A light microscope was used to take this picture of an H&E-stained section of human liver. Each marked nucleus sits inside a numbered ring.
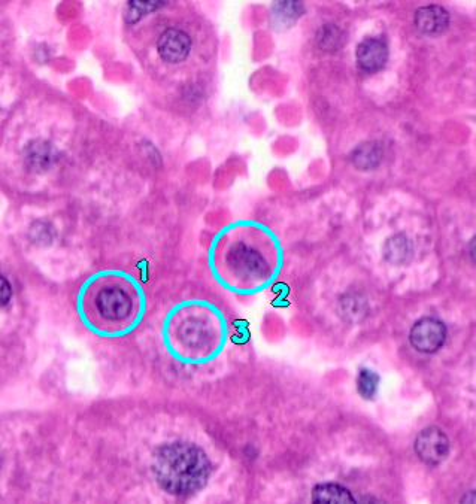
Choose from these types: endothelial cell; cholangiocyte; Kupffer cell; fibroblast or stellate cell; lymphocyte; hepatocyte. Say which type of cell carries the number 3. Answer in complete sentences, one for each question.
Classified as a hepatocyte is the cell with the number 3.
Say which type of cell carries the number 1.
The marked cell with the number 1 is recognised as a hepatocyte.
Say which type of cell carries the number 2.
The cell identified by number 2 is an endothelial cell.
